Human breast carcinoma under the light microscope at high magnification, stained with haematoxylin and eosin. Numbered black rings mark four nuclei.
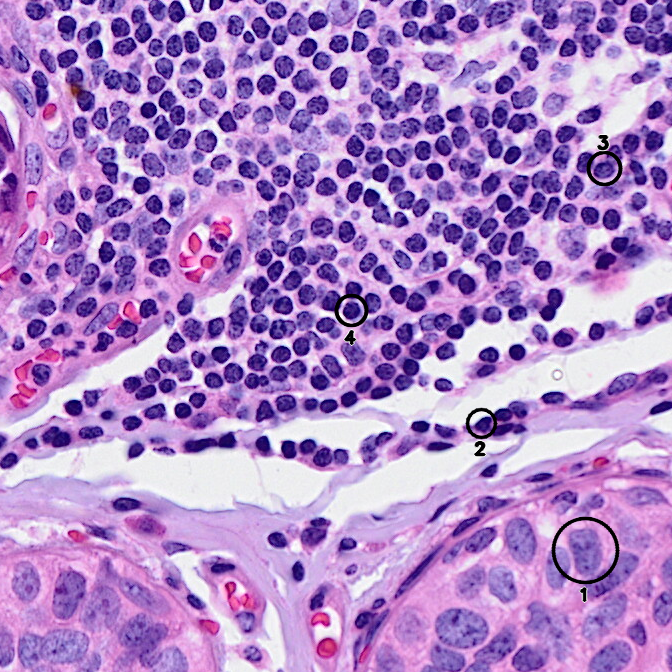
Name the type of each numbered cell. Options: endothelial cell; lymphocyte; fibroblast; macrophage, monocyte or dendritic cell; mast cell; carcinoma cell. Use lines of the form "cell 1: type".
cell 1: carcinoma cell
cell 2: lymphocyte
cell 3: lymphocyte
cell 4: lymphocyte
